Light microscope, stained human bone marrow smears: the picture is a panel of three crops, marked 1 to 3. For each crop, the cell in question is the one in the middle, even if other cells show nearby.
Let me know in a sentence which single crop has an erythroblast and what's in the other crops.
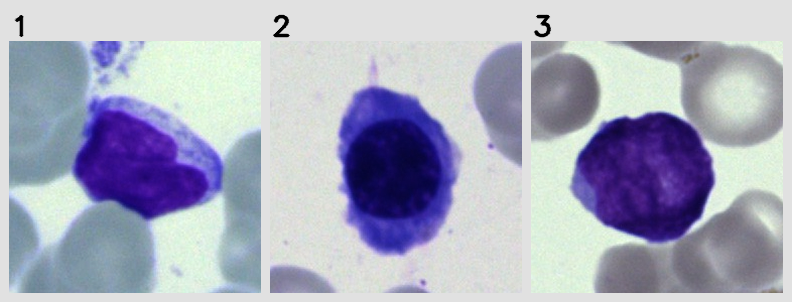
Placed in the middle of crop 2 is an erythroblast, while crop 1 is a lymphocyte and crop 3 is a blast.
